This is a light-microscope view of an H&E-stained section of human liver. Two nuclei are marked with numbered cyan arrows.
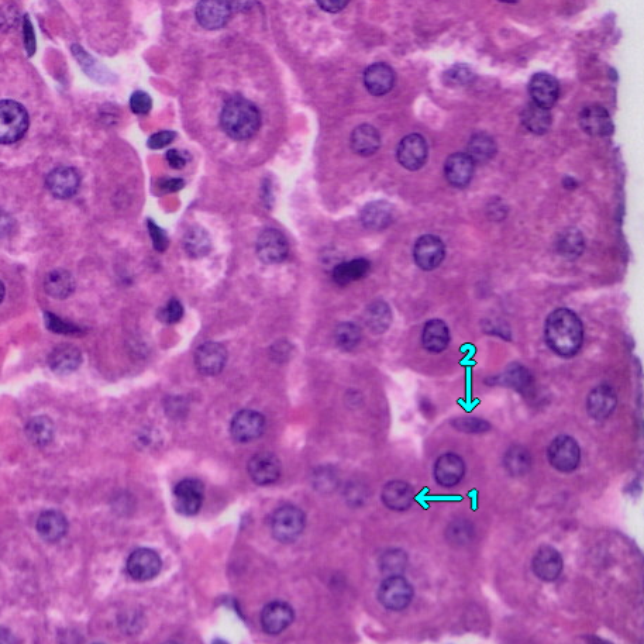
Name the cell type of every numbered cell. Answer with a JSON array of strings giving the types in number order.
["hepatocyte", "fibroblast or stellate cell"]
